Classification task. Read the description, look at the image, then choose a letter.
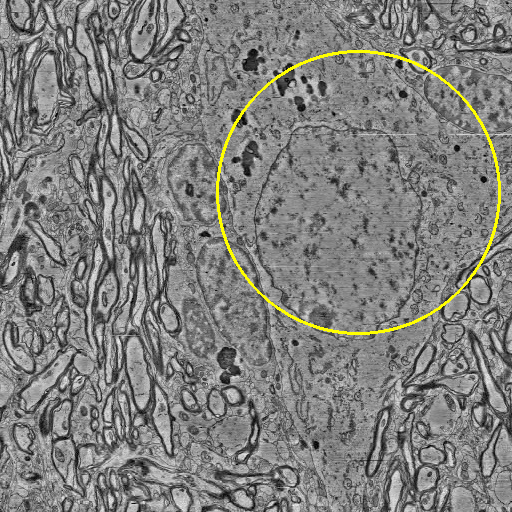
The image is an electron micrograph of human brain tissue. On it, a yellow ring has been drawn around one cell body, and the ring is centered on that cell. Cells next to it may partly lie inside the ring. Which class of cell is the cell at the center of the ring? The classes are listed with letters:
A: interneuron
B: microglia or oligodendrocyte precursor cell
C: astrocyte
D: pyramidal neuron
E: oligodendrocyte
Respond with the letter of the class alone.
D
